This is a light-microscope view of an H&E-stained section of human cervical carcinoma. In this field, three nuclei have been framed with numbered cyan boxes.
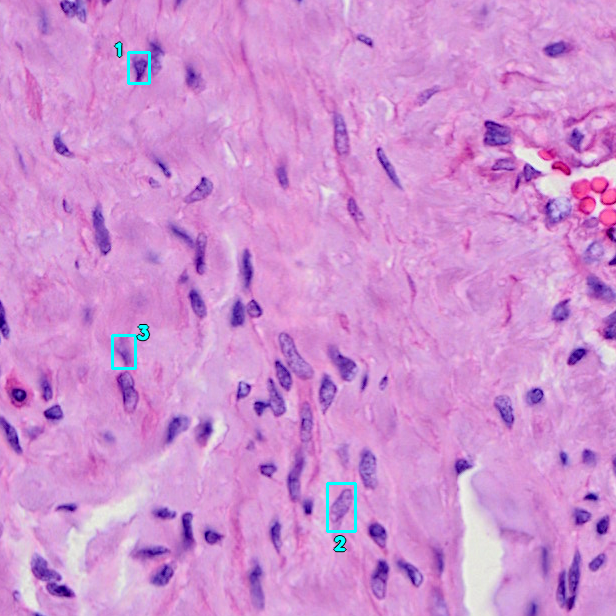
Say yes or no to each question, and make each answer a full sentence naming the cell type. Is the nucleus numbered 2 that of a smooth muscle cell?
Yes, correct, the cell with the number 2 is a smooth muscle cell.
